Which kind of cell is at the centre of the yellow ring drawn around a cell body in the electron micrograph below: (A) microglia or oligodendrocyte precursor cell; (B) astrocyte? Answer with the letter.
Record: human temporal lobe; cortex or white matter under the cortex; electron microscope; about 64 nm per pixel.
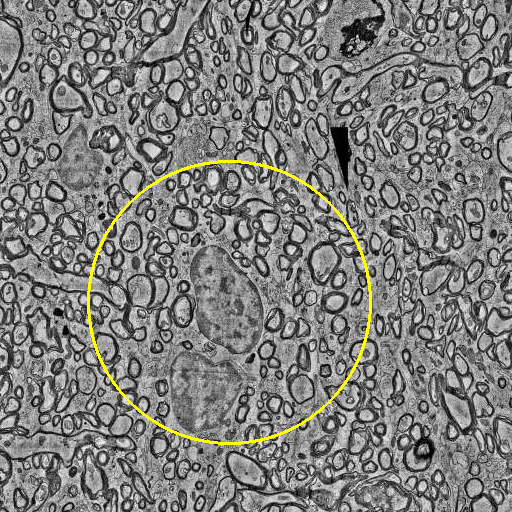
A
